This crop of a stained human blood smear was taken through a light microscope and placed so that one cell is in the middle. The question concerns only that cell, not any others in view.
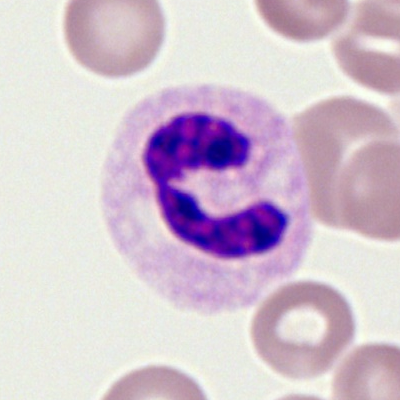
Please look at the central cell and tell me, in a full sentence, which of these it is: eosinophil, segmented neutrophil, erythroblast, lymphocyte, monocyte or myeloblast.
The cell nearest the centre of this crop is a segmented neutrophil.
